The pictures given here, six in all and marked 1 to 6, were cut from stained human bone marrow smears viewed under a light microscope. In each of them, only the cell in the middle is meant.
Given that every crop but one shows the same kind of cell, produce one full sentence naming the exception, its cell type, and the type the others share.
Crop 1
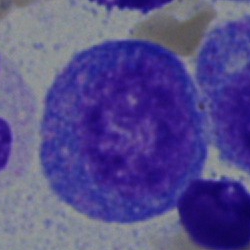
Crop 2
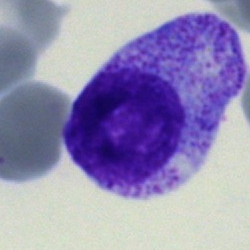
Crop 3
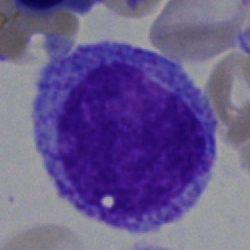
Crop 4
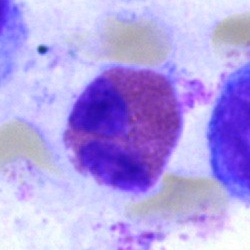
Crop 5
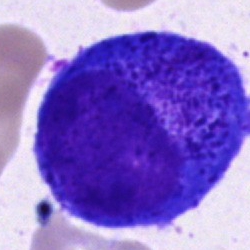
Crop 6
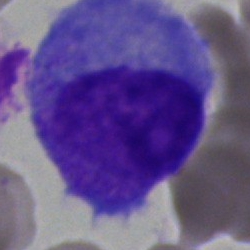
Unlike the other crops, all showing promyelocytes, crop 4 is an eosinophil.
